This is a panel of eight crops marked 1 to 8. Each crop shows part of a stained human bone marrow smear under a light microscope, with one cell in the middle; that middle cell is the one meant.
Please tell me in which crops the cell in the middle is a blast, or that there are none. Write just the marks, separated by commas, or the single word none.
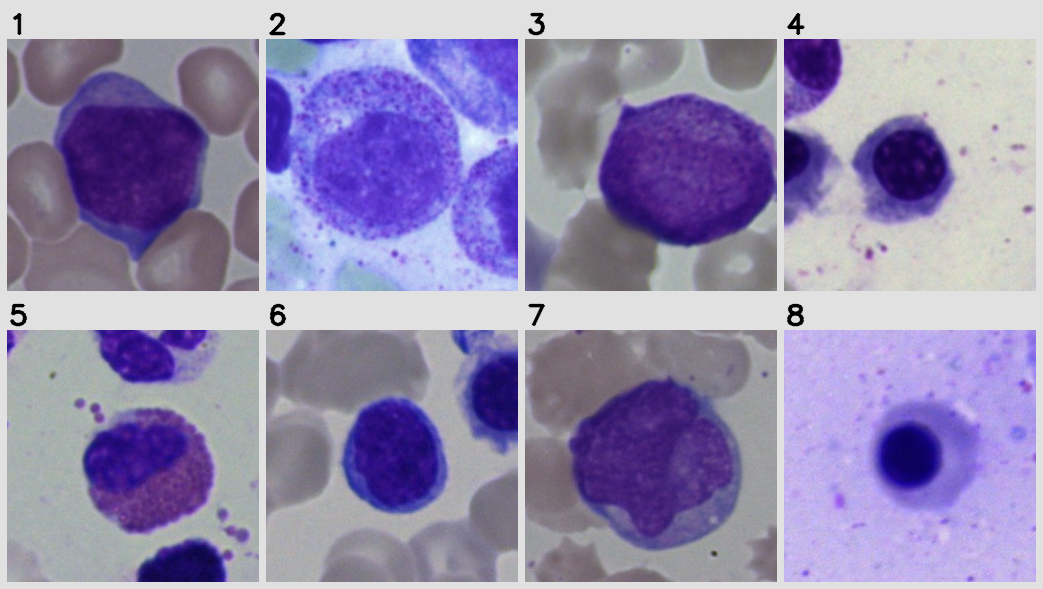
1, 3, 7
